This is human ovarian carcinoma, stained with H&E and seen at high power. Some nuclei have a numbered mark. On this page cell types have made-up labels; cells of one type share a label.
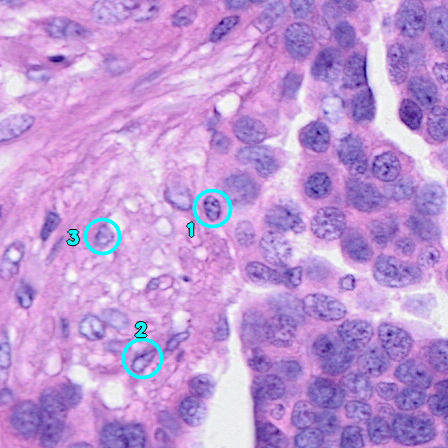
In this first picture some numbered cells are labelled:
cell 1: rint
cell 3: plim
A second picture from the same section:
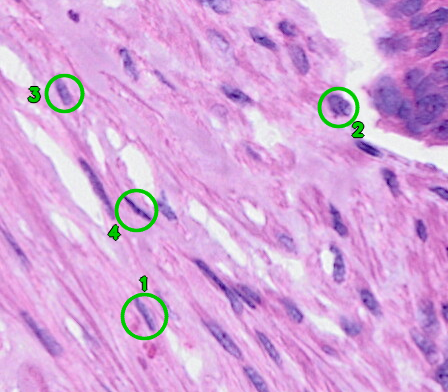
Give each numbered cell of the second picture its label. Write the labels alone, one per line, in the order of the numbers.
plim
rint
plim
plim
